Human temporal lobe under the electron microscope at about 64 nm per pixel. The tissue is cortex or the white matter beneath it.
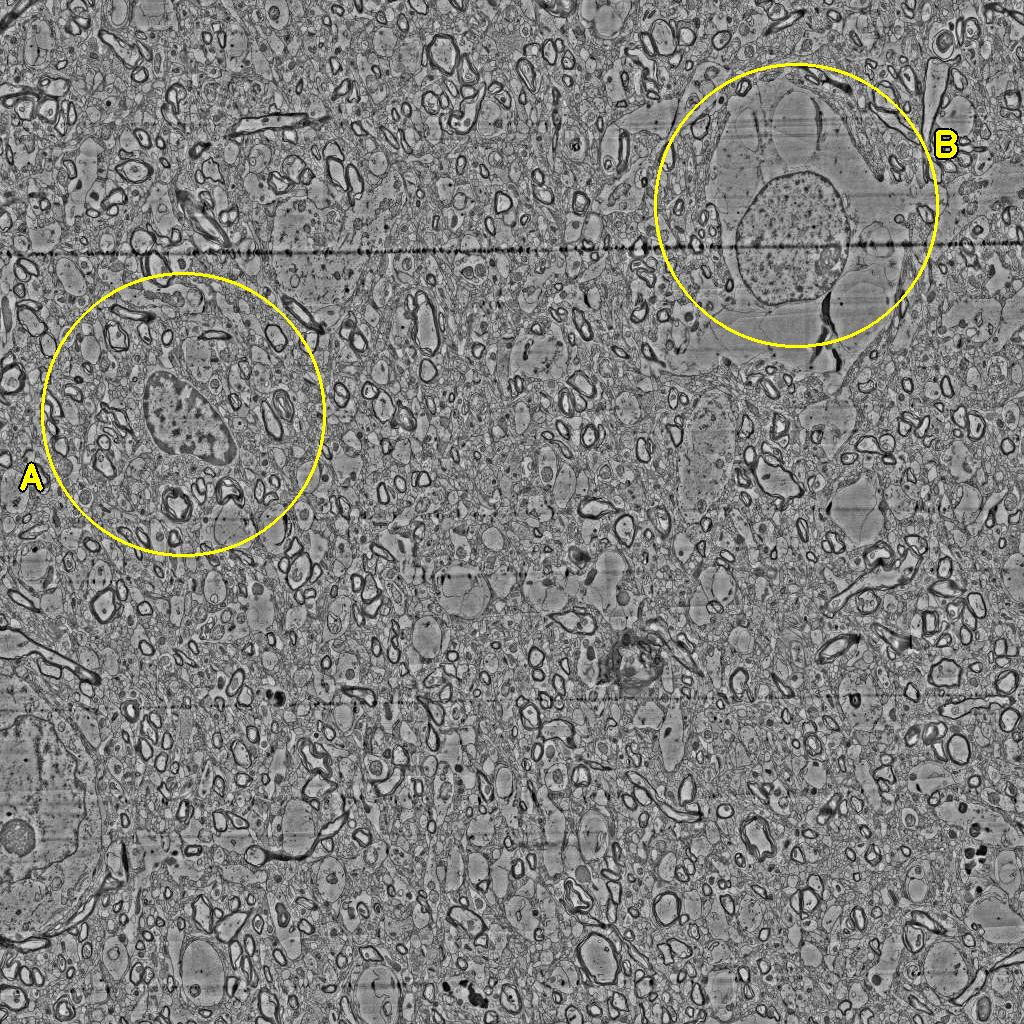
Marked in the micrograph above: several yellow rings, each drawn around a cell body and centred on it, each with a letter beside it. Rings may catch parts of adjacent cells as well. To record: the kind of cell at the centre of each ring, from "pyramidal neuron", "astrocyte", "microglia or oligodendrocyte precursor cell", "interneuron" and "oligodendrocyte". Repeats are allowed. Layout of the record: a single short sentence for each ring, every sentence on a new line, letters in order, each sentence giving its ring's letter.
At the centre of ring A lies a microglial cell or oligodendrocyte precursor cell.
At the centre of ring B lies an astrocyte.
